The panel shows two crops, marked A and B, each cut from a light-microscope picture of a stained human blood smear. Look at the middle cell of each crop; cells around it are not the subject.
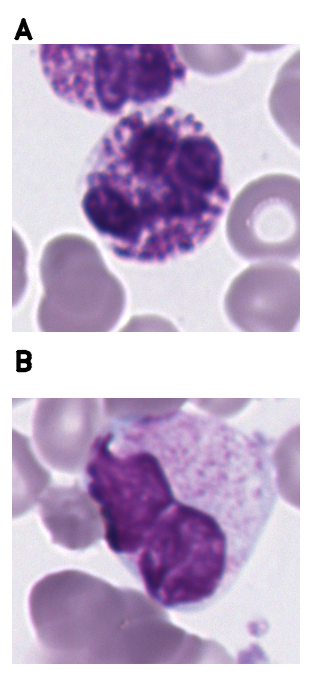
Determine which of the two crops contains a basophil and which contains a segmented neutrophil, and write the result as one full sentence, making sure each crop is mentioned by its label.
Crop A is classified as a basophil, and crop B as a segmented neutrophil.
